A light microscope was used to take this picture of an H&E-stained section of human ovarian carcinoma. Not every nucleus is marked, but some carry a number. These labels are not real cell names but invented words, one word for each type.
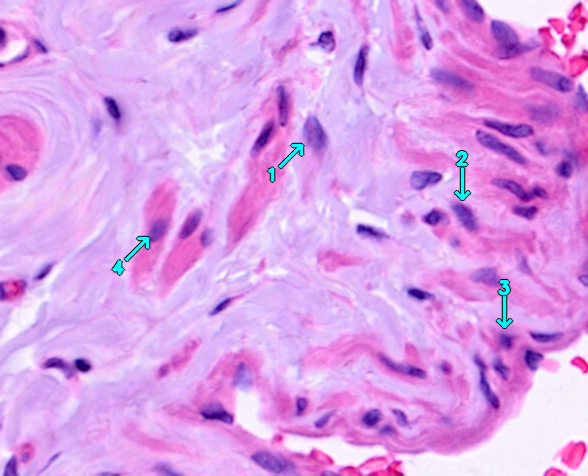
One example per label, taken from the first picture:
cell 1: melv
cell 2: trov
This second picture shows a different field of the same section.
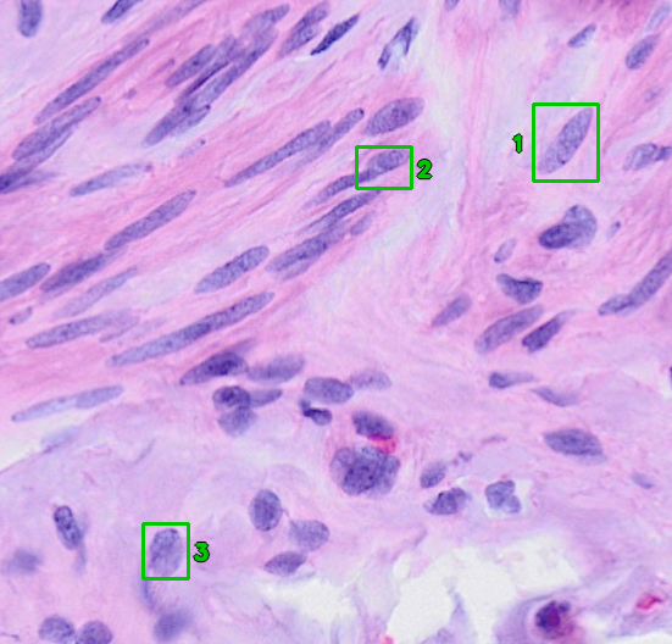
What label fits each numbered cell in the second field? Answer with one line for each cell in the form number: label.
1: trov
2: trov
3: melv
